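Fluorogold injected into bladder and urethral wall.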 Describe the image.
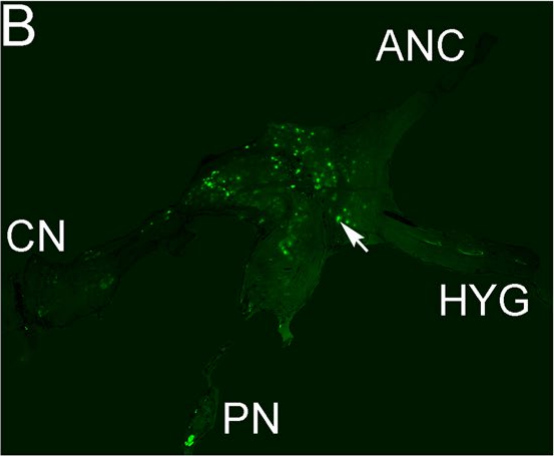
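This low-magnification fluorescence composite shows a pelvic ganglion with its branching nerve trunks, in which scattered neurons are labelled green. The labelled neuronal cell bodies appear as small, round, bright green dots spread sparsely through the central body of the ganglion. Most of the ganglion tissue shows only faint, diffuse green background. The nerve trunks extend outward to the left, upper right, right and downward and are largely free of labelled bodies. A small bright spot lies at the lower tip of the downward trunk.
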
